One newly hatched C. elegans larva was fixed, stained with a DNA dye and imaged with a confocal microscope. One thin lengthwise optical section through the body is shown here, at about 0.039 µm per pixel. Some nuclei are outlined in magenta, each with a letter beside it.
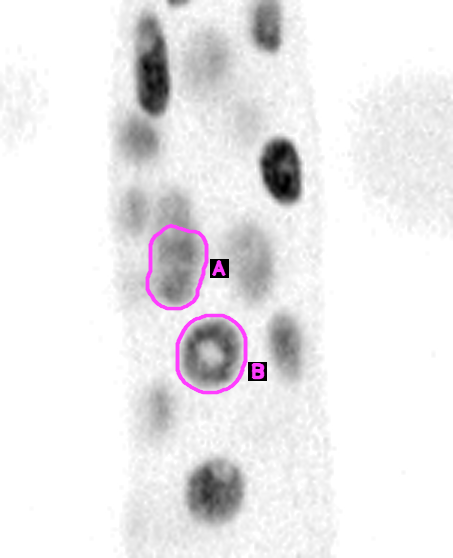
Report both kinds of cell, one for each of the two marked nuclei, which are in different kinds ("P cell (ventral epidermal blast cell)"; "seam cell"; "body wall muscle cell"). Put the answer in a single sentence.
B belongs to a seam cell, and A to a P cell (ventral epidermal blast cell).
